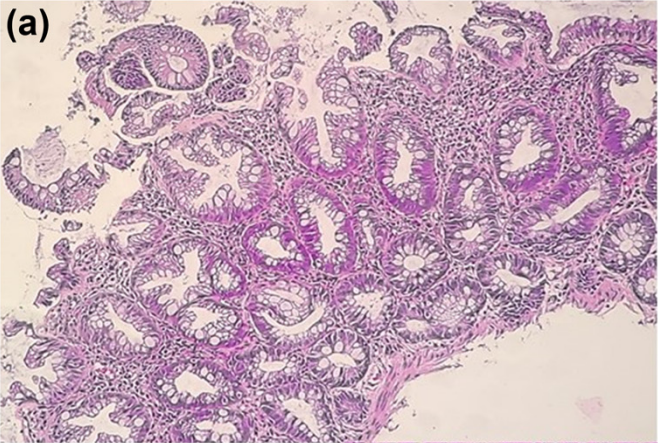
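Colonic mucosa of a hyperplastic polyp, goblet cell-rich type, with crypts cut mostly across and obliquely. The crypts are lined by epithelium packed with pale, mucin-filled goblet cells. The crypt lumens have irregular, star-shaped to saw-toothed outlines. Nuclei are small and oval and lie at the base of the cells. A cellular lamina propria with many small, darkly staining cells fills the spaces between the crypts.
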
